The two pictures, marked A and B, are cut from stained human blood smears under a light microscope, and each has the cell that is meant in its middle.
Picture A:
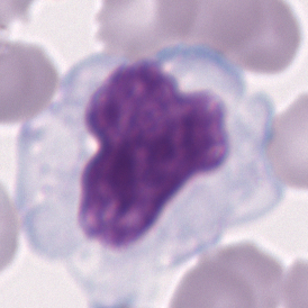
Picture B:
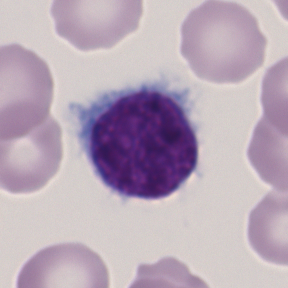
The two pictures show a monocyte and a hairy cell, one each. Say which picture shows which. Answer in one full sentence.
The cell in picture A is a monocyte, and the one in picture B is a hairy cell.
